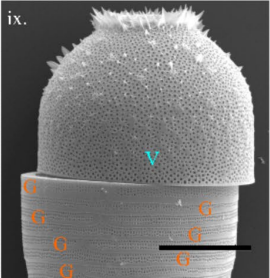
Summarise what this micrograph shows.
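This is a scanning electron micrograph of a diatom frustule, the porous silica wall of a single diatom cell. At the top is a domed, cap-like valve whose surface is densely covered with small pores. Short spines project from the crown of the dome. Below the valve, the cylindrical part of the wall is encircled by several stacked, narrow bands of the girdle.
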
